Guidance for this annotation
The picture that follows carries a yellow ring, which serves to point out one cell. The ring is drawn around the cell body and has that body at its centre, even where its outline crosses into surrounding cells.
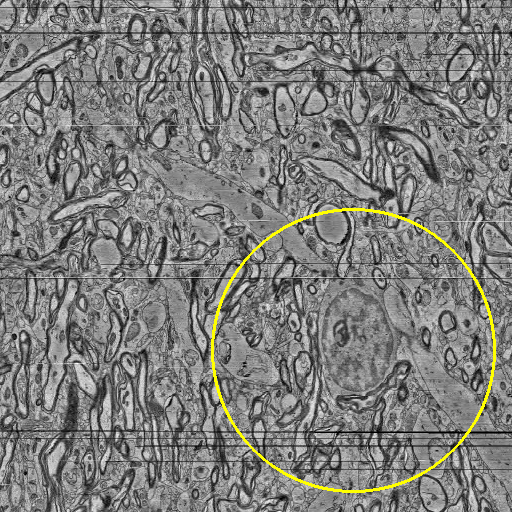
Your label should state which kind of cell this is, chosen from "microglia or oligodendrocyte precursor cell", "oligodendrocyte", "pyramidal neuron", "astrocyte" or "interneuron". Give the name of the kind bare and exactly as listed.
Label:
oligodendrocyte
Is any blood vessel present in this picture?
No.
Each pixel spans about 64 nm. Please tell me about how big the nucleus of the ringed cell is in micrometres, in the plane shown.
The nucleus has a long axis of about 7 micrometres and a short axis of about 5 micrometres in this plane.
